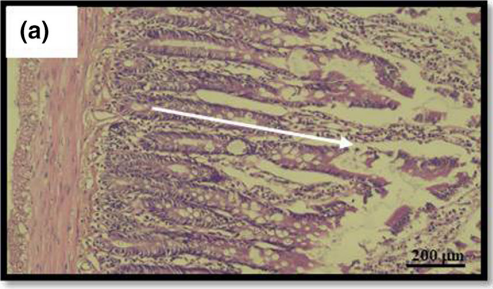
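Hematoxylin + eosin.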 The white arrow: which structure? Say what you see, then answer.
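Villus. The arrow runs from the base of the mucosa near the muscle layer toward the tip of an elongated finger-like projection. The projections are lined by epithelium and point into the lumen.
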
